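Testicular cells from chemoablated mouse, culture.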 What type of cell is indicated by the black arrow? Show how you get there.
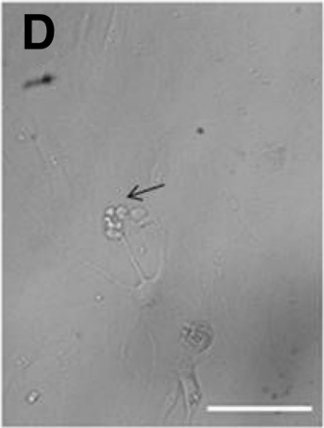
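Germ cells. A cluster of small round cells. The cluster lies beside a flat cell with long processes.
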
